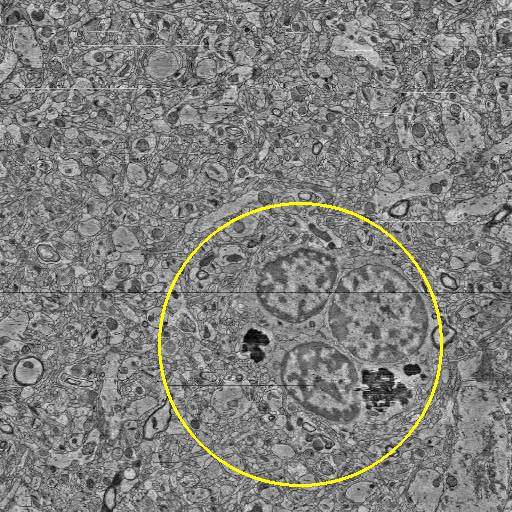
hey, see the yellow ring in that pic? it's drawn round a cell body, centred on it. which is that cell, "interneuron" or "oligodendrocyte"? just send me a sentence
The cell in the ring is an oligodendrocyte.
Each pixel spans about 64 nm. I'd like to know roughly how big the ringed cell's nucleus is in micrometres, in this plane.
The nucleus has a long axis of about 6 micrometres and a short axis of about 4 micrometres in this plane.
